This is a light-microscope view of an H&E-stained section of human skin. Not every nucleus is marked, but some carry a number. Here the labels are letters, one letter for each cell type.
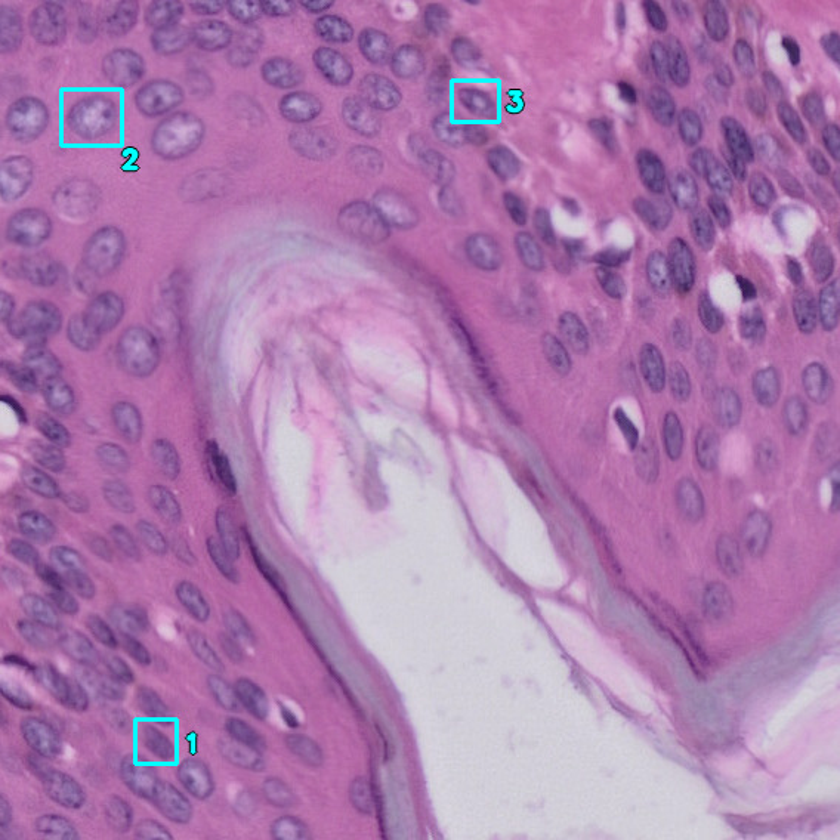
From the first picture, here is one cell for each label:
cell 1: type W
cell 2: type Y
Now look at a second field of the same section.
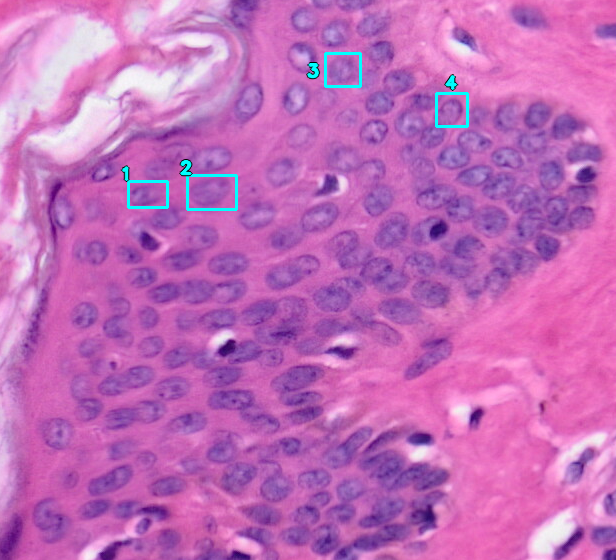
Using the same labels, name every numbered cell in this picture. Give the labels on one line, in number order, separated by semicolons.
type Y; type Y; type Y; type W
